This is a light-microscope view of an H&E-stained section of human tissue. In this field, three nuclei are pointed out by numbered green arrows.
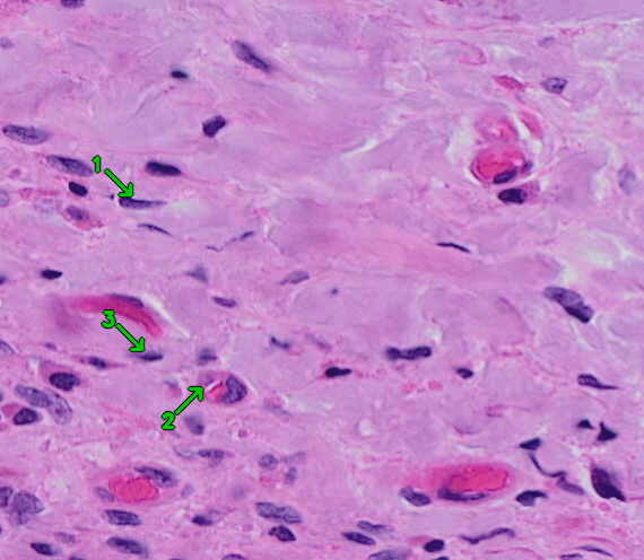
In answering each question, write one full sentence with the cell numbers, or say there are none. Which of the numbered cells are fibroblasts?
By cell type, the cells numbered 1 and 3 are fibroblasts.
